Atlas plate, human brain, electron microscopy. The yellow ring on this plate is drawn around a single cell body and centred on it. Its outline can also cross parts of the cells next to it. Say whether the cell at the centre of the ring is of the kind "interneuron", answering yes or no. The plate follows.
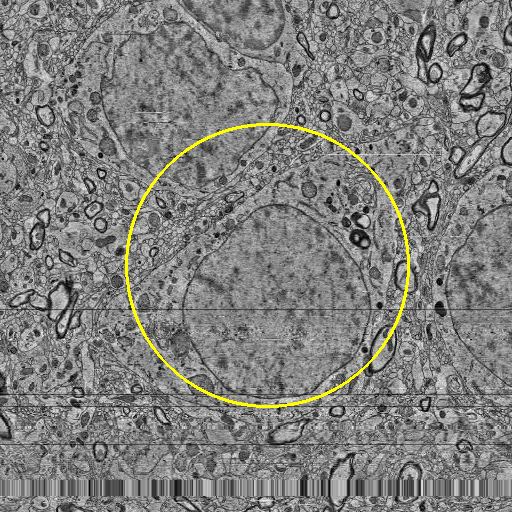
No, the cell is of another kind.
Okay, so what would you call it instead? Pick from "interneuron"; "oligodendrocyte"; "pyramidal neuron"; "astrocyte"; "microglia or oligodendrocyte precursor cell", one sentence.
What the ring encloses here is a pyramidal neuron.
